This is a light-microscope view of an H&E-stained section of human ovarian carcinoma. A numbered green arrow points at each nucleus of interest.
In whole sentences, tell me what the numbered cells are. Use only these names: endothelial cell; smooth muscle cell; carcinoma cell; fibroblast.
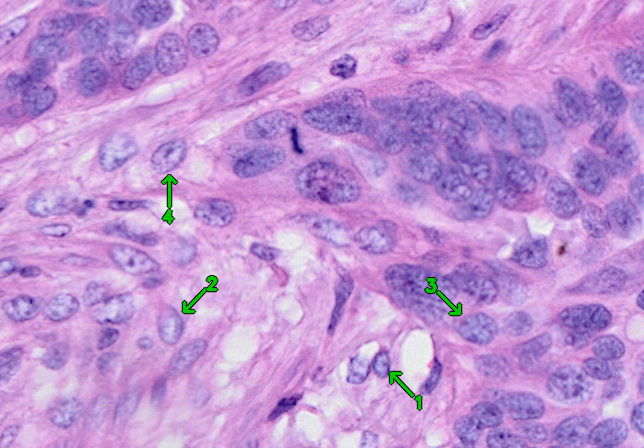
Cells 1, 2 and 4 are fibroblasts. Cell 3 is a carcinoma cell.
